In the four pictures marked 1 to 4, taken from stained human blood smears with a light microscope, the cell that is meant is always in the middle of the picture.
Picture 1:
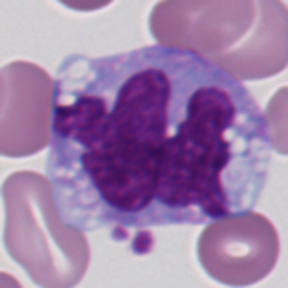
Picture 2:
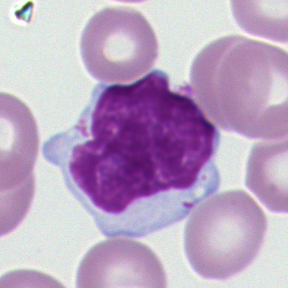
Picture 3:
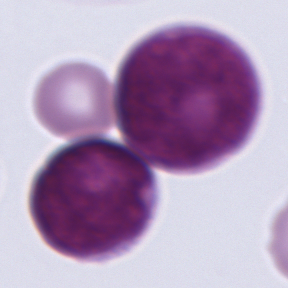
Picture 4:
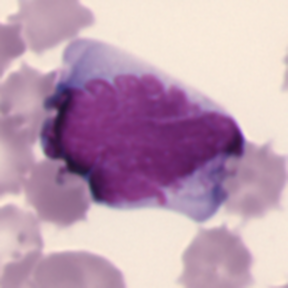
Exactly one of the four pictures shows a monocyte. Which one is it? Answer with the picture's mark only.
1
